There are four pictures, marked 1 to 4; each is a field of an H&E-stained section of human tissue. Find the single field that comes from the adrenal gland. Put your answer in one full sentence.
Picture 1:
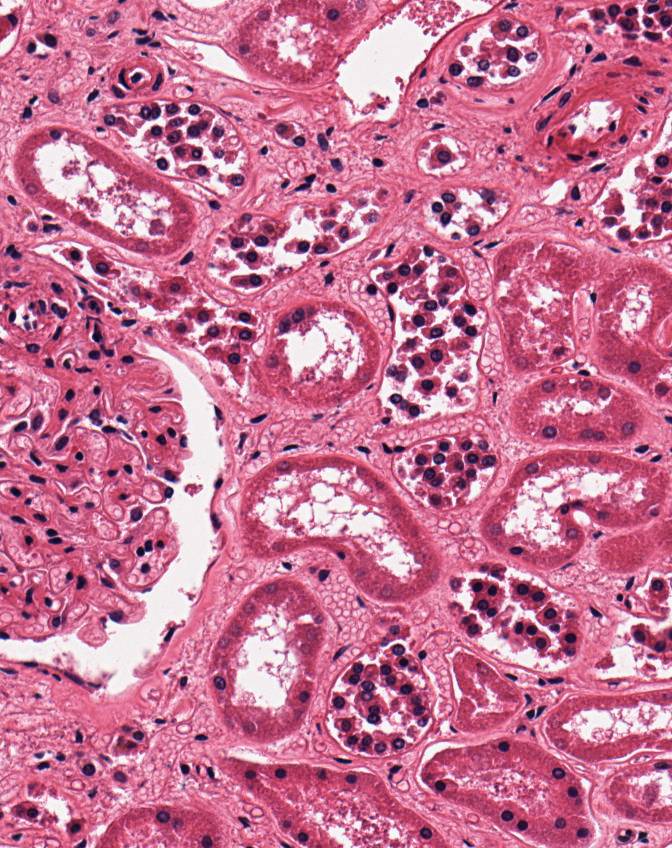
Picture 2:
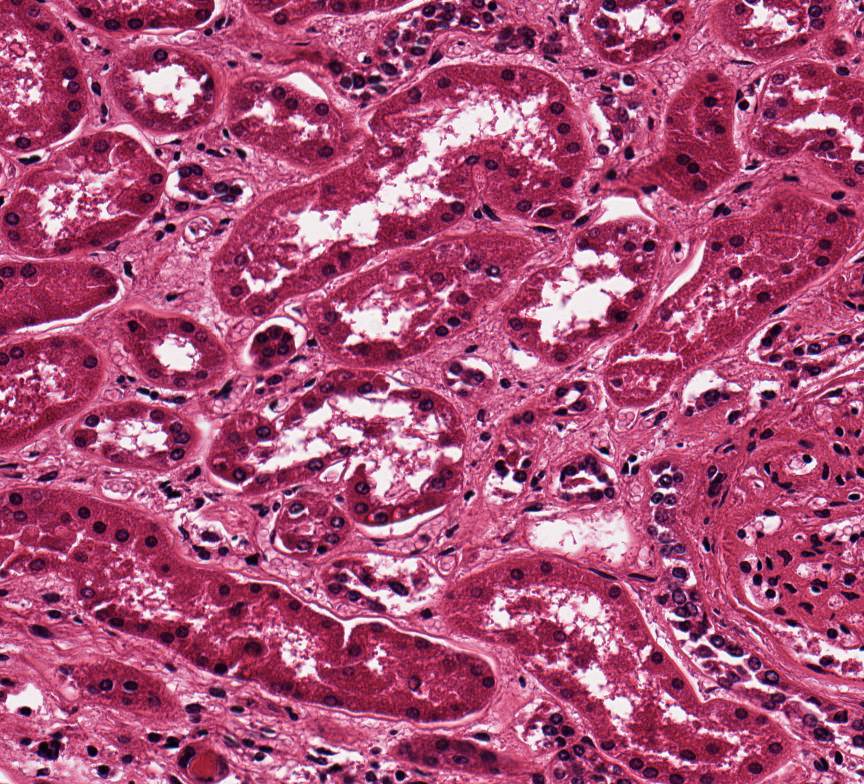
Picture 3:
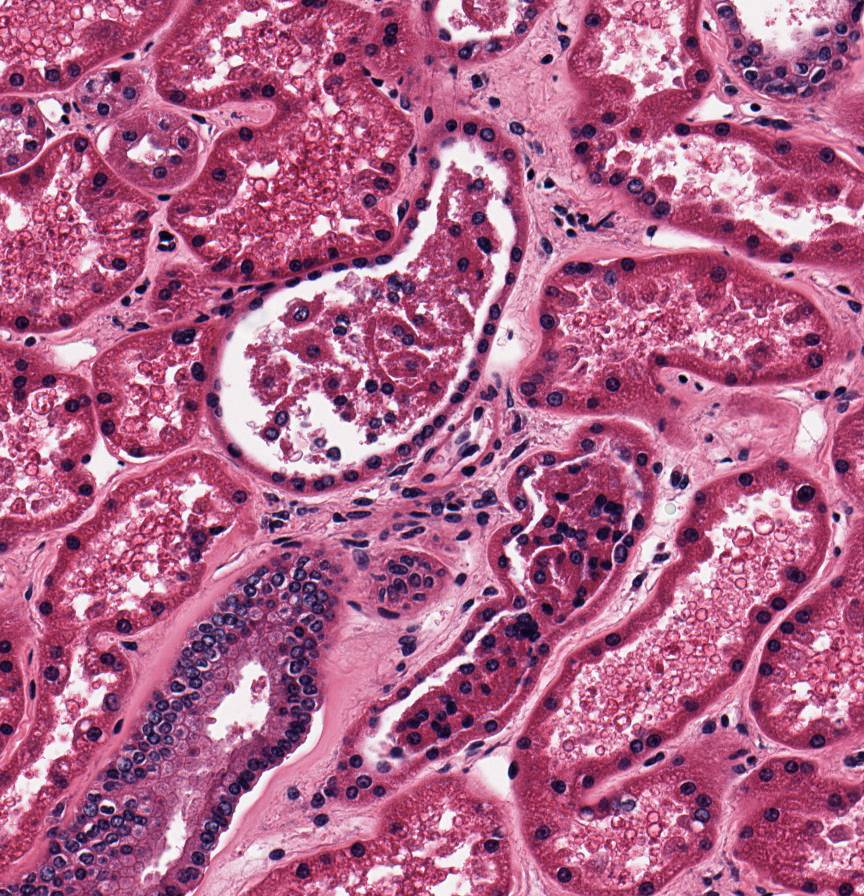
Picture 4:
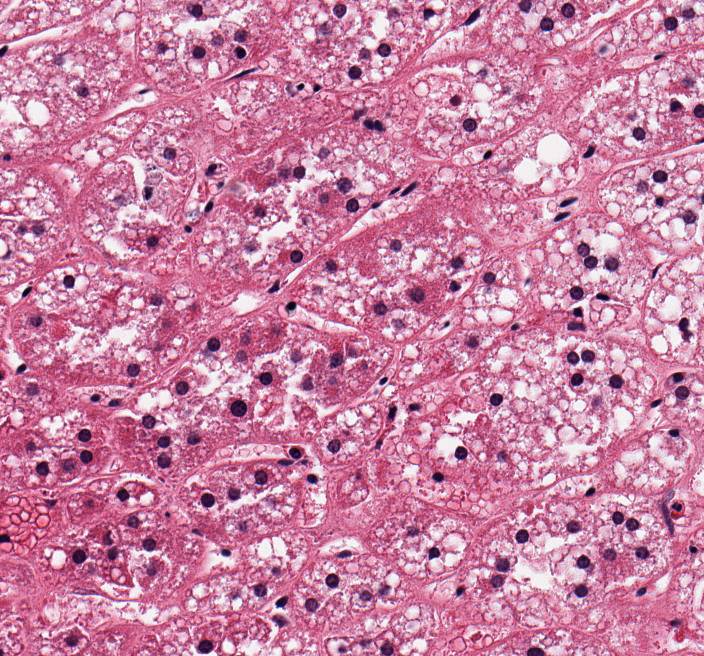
It is picture 4 that comes from the adrenal gland.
